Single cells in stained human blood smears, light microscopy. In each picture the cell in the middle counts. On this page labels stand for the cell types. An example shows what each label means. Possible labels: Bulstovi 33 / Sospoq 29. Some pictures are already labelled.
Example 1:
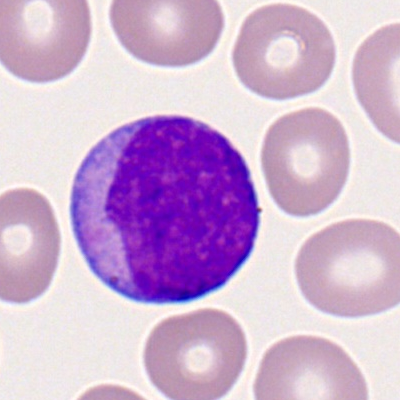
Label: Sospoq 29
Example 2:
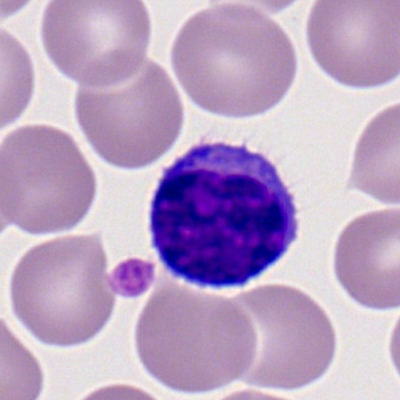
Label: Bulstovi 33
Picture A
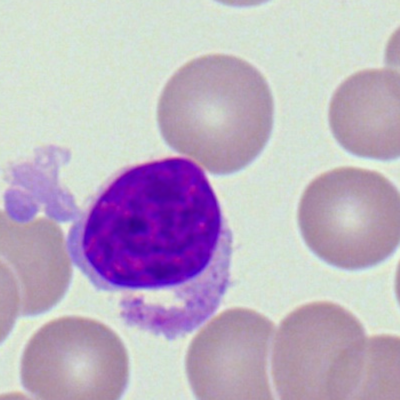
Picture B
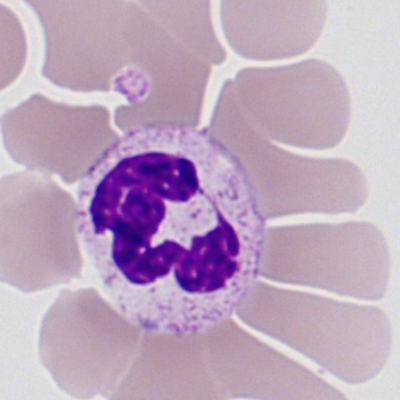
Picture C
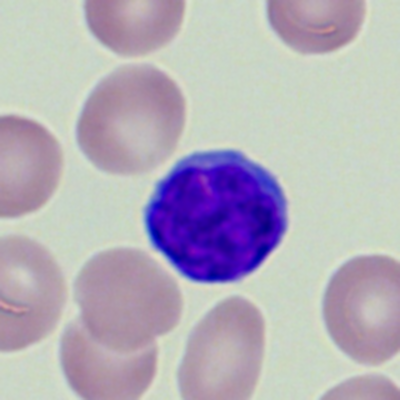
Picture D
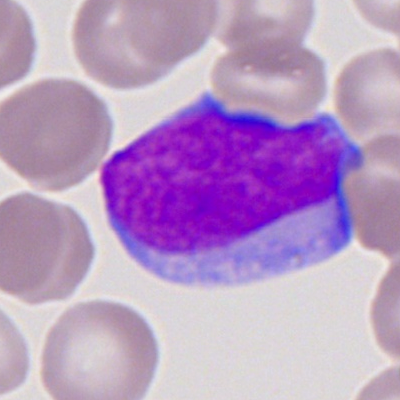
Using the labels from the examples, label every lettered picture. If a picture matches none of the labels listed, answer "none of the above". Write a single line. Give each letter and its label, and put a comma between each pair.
A Bulstovi 33, B none of the above, C Bulstovi 33, D Sospoq 29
